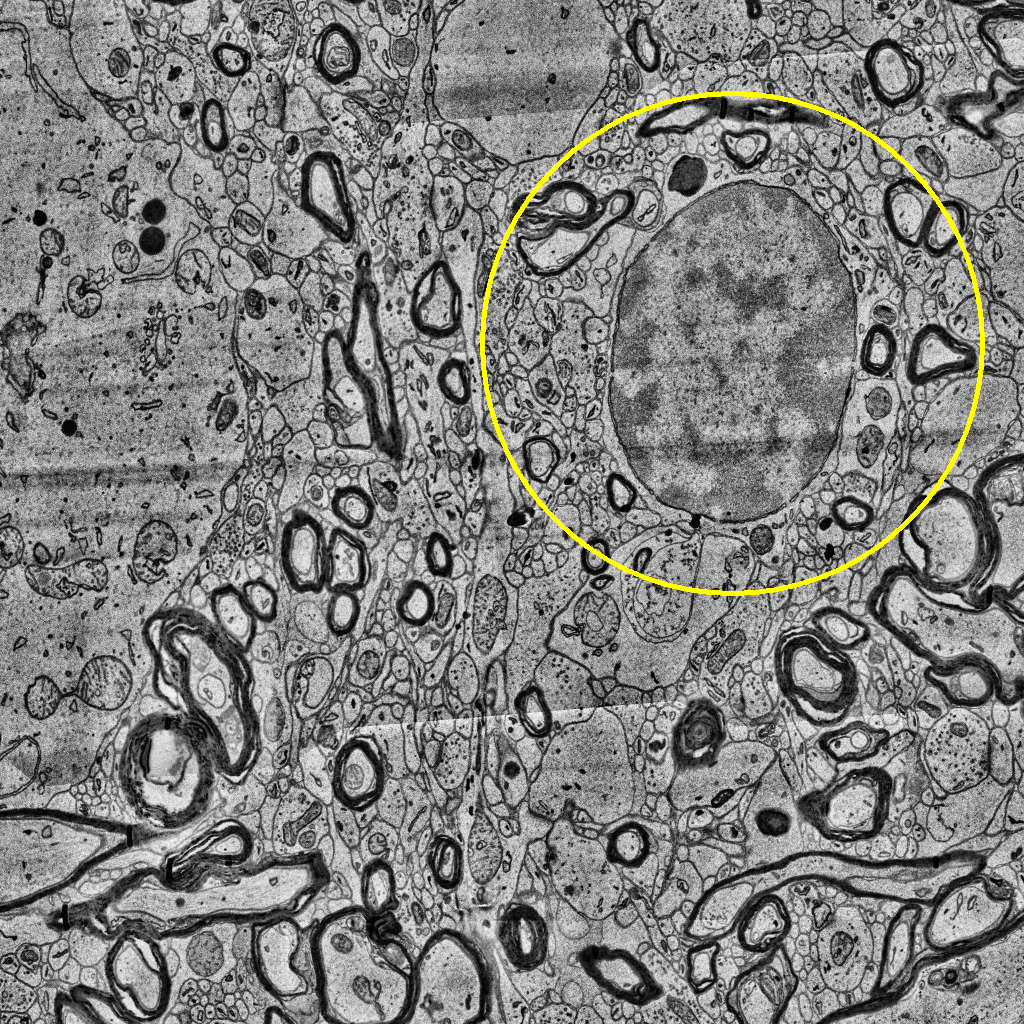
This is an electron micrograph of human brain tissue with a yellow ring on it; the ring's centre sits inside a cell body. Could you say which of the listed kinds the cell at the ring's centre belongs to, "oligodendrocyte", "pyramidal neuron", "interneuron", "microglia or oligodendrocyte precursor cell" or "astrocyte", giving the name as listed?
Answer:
microglia or oligodendrocyte precursor cell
